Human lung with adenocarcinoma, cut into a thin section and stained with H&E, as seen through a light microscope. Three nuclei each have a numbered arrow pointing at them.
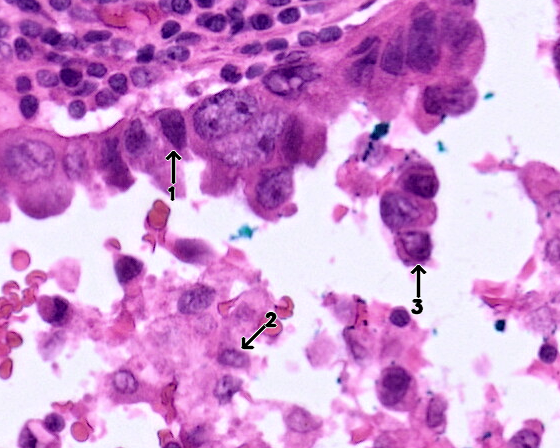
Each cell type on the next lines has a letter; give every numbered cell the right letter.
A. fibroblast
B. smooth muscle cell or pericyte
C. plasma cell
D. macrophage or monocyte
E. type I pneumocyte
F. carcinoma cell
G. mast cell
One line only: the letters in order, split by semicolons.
F; D; F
